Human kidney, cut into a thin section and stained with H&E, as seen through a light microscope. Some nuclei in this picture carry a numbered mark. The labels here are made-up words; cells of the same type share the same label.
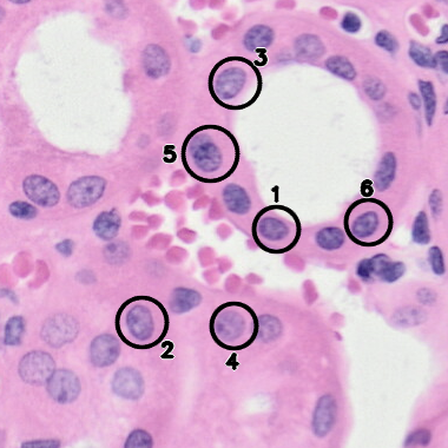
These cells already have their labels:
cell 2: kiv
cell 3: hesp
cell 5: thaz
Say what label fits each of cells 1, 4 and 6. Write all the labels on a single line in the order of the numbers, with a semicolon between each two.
thaz; kiv; thaz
